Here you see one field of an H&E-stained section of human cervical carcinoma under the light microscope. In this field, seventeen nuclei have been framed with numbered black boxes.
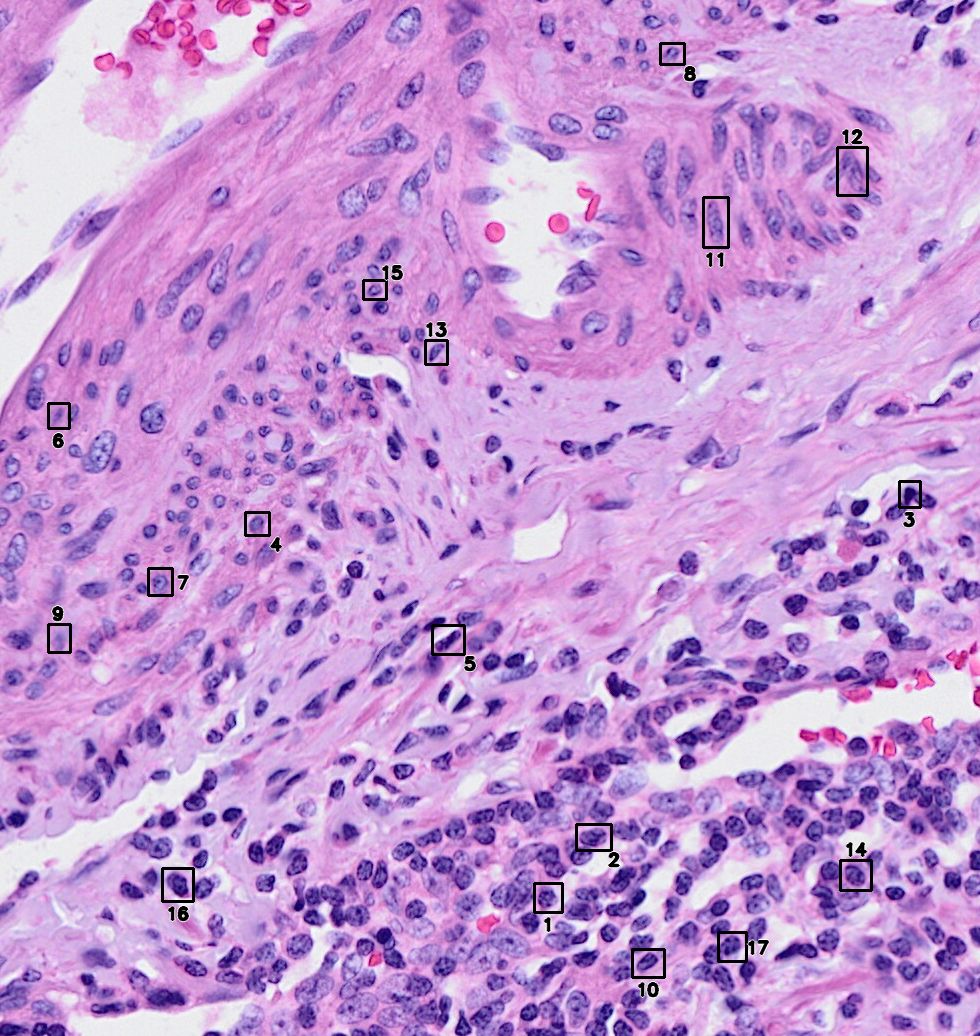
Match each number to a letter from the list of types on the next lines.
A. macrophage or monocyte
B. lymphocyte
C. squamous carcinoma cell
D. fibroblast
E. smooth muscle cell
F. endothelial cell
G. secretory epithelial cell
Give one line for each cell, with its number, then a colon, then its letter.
1: B
2: B
3: B
4: E
5: B
6: E
7: E
8: E
9: E
10: B
11: E
12: E
13: E
14: B
15: E
16: B
17: B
